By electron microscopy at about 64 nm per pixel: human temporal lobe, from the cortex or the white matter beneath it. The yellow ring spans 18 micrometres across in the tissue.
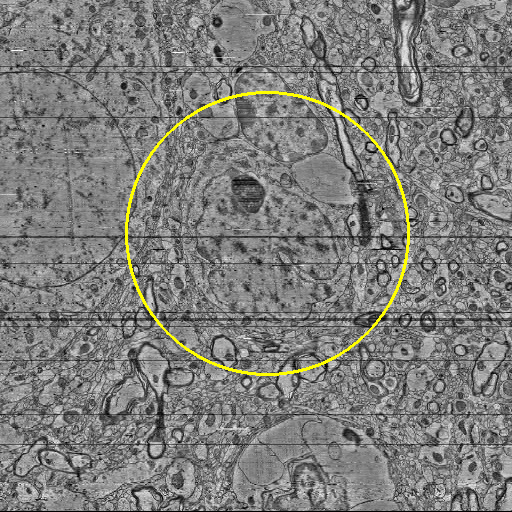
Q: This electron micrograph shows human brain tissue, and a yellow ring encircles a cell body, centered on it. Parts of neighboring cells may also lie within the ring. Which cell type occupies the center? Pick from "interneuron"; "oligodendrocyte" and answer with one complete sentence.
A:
What sits at the ring's center in this micrograph is an interneuron, among those choices.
